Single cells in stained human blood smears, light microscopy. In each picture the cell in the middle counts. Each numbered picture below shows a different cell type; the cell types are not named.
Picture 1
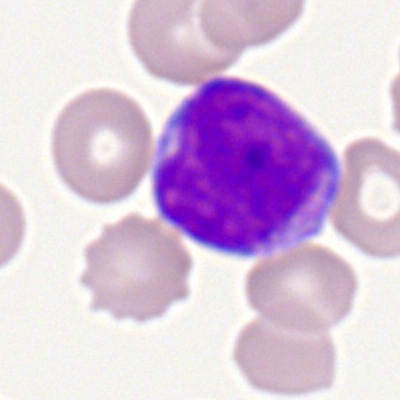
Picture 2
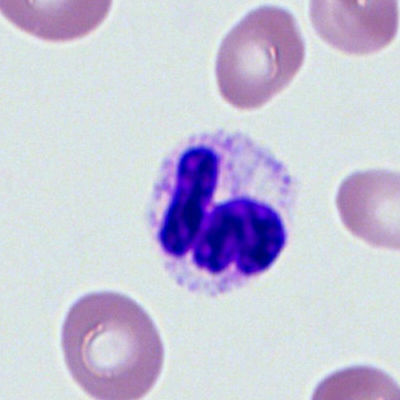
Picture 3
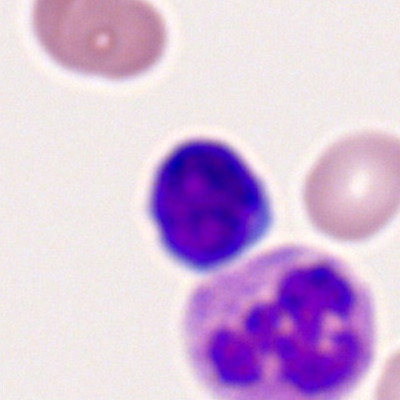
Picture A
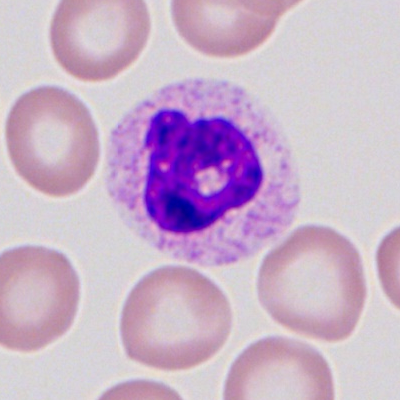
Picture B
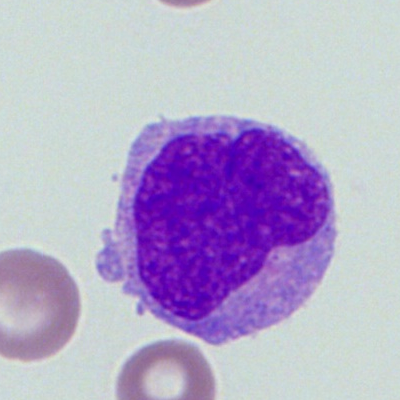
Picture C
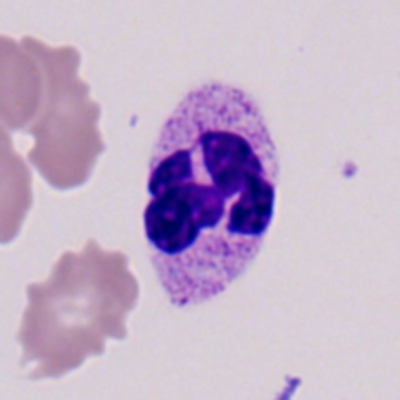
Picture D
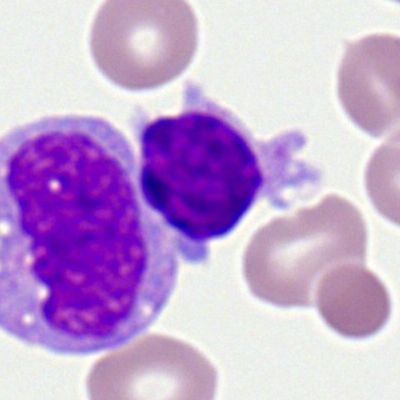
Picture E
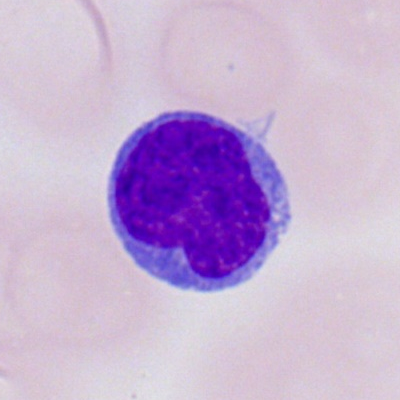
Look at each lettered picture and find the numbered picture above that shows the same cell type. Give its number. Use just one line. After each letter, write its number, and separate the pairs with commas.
A 2, B 1, C 2, D 3, E 3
